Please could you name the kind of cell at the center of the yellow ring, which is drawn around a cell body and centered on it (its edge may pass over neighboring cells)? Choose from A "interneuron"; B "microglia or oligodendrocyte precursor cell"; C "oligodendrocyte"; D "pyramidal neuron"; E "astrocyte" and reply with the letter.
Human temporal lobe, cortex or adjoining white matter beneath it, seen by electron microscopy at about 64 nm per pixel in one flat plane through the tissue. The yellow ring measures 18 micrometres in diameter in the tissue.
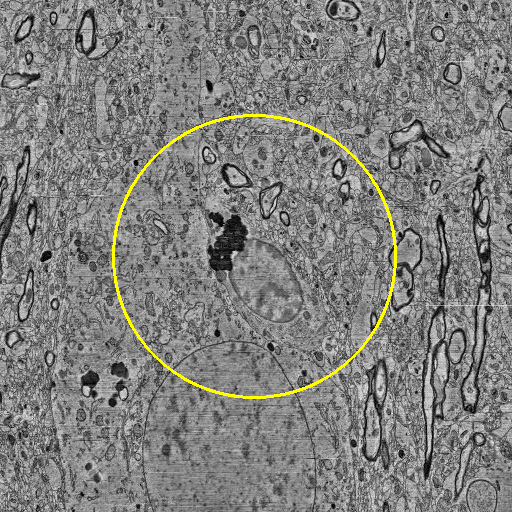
C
